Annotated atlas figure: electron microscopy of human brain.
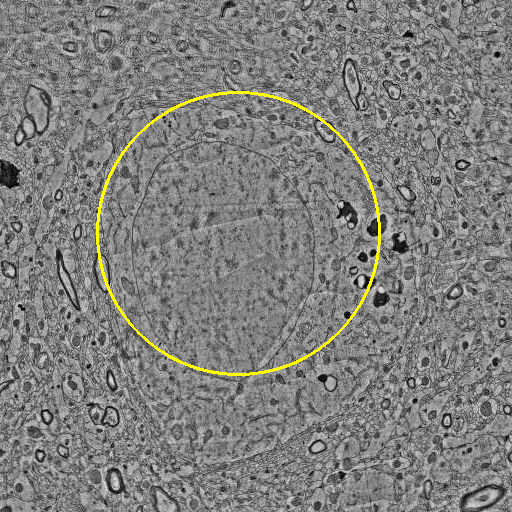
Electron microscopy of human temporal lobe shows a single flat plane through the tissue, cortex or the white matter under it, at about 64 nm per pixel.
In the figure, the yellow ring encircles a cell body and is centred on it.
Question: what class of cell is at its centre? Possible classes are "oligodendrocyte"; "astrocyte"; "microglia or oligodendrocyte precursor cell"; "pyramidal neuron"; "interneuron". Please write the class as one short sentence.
The yellow ring is drawn around a pyramidal neuron.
